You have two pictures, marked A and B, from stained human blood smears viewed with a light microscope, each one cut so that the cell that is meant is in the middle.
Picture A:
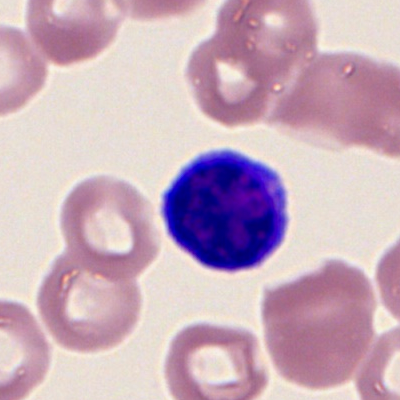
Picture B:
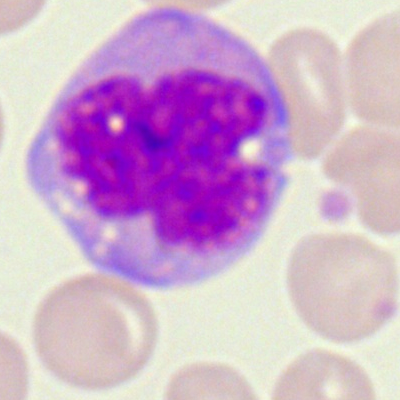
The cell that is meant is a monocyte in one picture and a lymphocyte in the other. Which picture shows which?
A: lymphocyte
B: monocyte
